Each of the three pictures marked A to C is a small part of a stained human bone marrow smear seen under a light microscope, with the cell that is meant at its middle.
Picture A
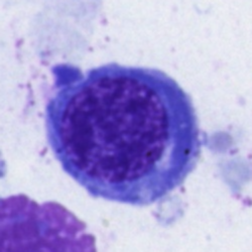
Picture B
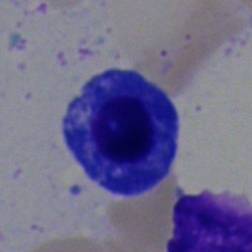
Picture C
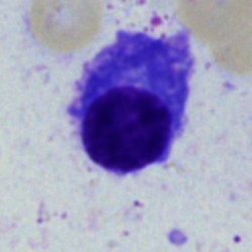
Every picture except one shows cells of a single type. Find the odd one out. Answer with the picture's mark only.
A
